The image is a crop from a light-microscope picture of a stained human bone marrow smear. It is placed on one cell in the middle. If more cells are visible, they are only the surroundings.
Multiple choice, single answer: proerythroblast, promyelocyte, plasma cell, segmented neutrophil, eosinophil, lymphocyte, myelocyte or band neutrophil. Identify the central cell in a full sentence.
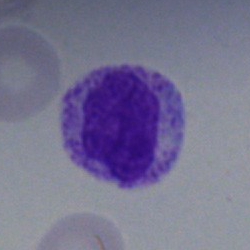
The cell positioned in the middle of the field is a myelocyte.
